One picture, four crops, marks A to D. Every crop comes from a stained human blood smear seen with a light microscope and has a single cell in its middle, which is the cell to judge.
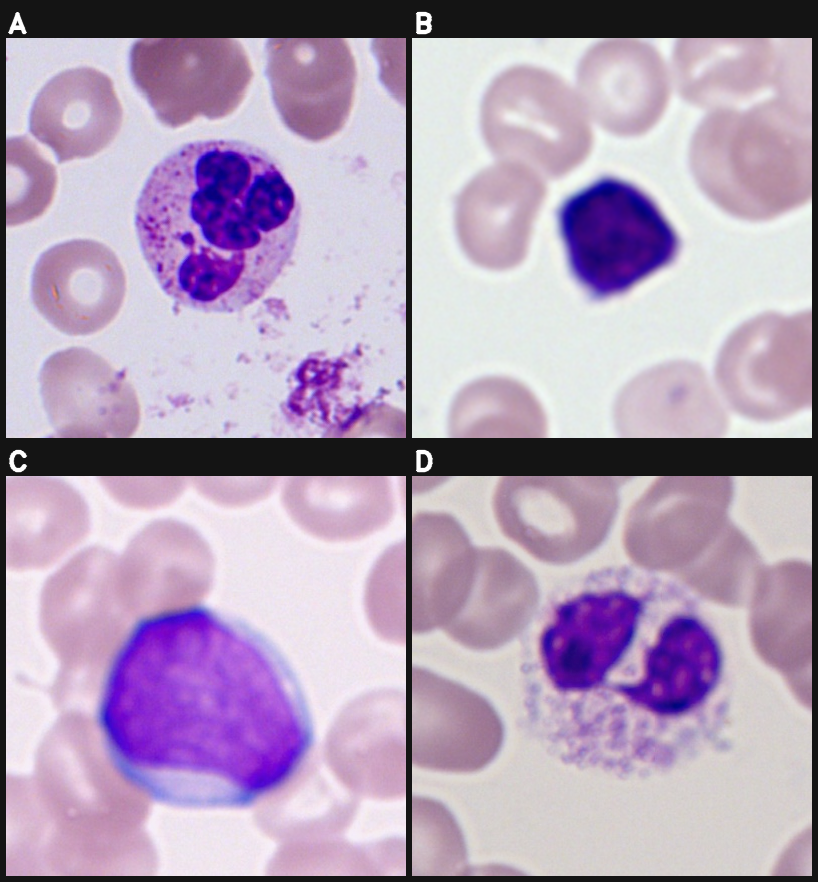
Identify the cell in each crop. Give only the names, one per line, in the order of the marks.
segmented neutrophil
lymphocyte
myeloblast
segmented neutrophil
